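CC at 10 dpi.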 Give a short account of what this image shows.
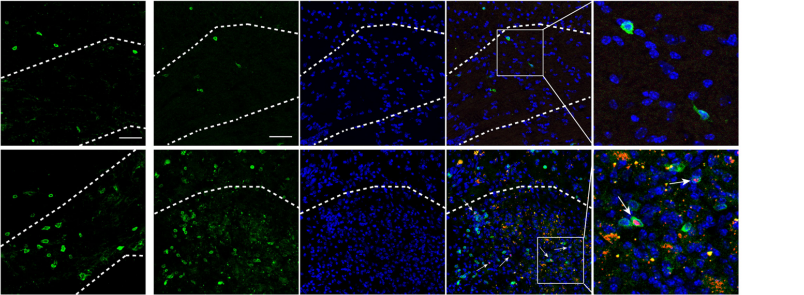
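The band of tissue is marked off by white dashed lines. Small round green cells are sparse in the upper row and more numerous in the lower row.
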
